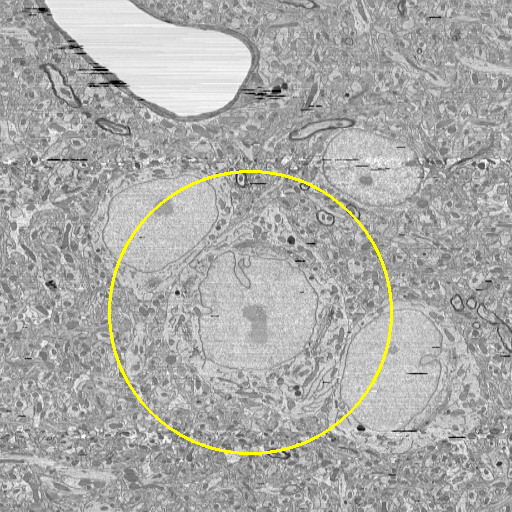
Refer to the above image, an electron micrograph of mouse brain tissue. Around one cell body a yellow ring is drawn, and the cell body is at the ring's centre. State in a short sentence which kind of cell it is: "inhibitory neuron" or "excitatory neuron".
The centre of the ring falls on an inhibitory neuron.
